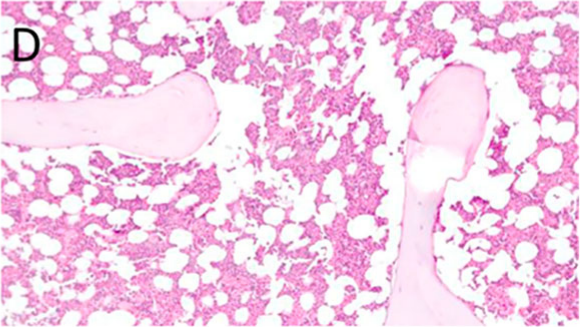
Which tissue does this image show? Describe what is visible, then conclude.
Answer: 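Pale pink bony trabeculae cross the field. Between them lies densely cellular tissue with many round empty fat spaces. The answer: bone marrow.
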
